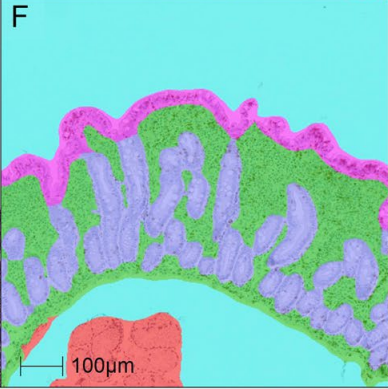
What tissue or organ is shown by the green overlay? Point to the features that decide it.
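Green fills the spaces between the purple glandular profiles. Green lies beneath the pink surface lining.
Lamina propria.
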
